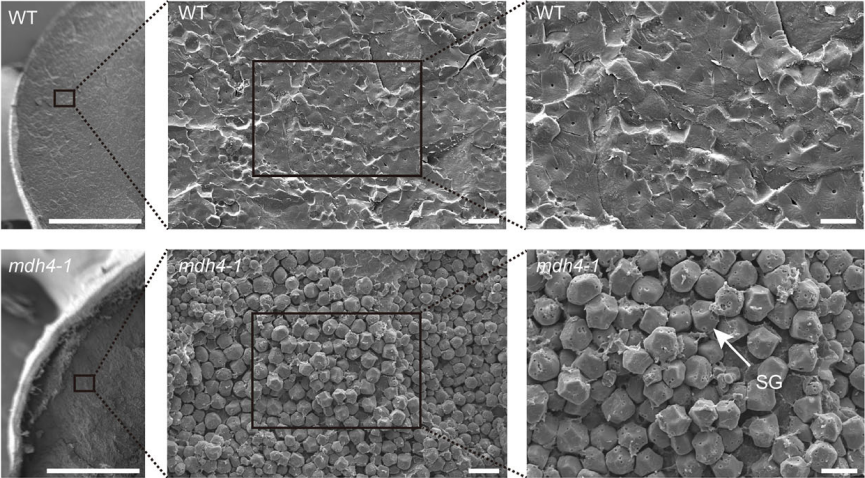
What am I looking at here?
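In the upper row the fractured surface is a continuous, fairly smooth matrix with small pits, and individual granules are hardly distinguishable. In the lower row the surface consists of loosely packed, separate polyhedral starch granules with angular faces, with little surrounding matrix between them.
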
